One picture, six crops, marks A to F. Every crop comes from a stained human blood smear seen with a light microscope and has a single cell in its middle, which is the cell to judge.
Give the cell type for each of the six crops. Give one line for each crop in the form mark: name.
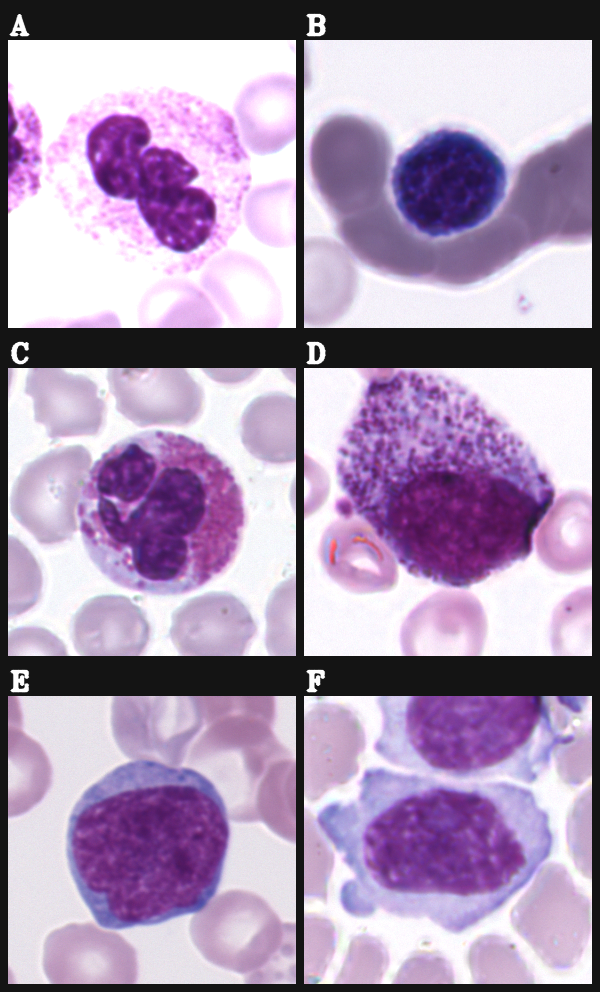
A: segmented neutrophil
B: plasma cell
C: eosinophil
D: myelocyte
E: myeloblast
F: plasma cell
